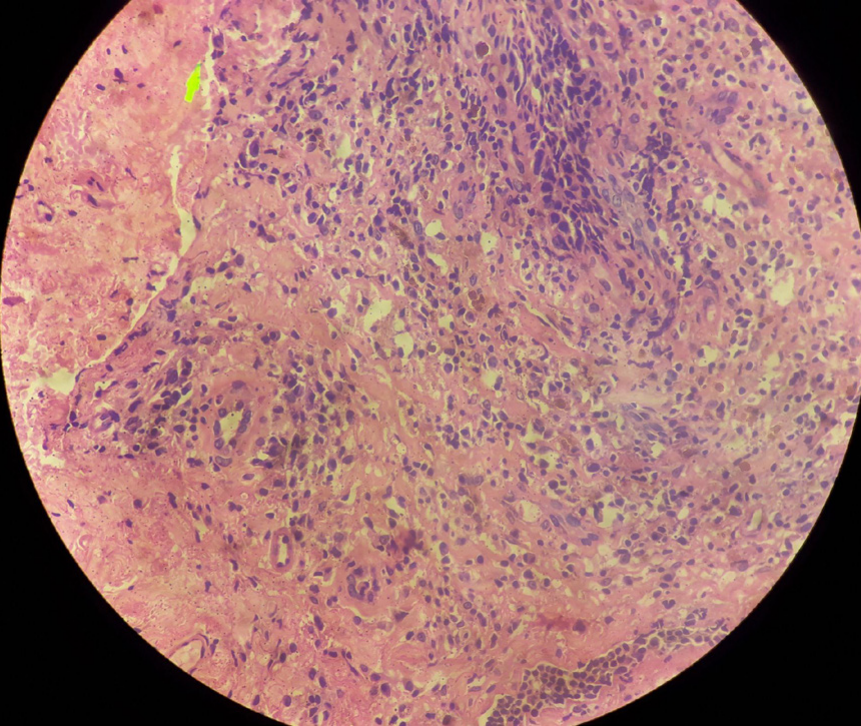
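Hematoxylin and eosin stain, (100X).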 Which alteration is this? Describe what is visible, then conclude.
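Chronic inflammatory infiltrate. Many small cells with dark round purple nuclei are densely packed across the centre and upper part of the field. The cells lie scattered between pink fibrous strands rather than forming an orderly layer.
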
